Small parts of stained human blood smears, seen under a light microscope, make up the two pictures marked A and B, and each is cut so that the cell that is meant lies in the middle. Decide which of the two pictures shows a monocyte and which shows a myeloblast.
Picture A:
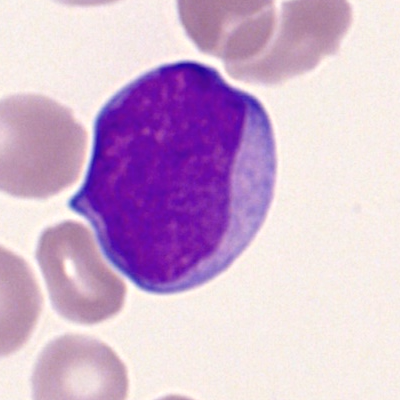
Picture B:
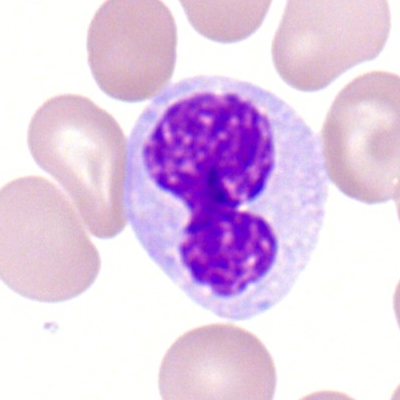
A: myeloblast
B: monocyte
